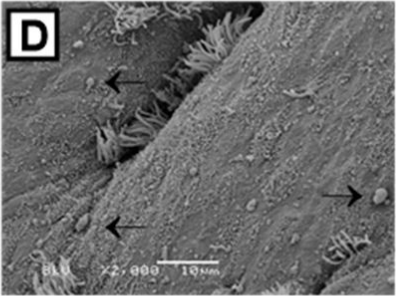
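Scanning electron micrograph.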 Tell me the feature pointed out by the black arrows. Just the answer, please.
Secretion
